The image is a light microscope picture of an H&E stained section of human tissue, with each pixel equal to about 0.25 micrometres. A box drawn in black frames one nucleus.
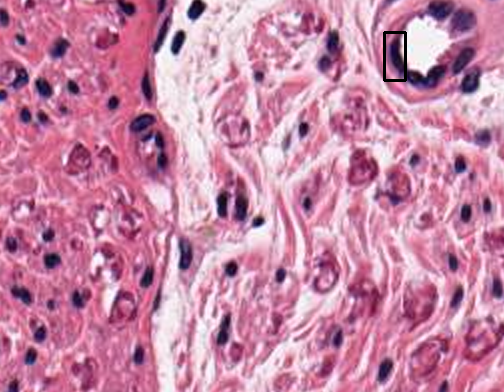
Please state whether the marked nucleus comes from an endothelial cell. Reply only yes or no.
yes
